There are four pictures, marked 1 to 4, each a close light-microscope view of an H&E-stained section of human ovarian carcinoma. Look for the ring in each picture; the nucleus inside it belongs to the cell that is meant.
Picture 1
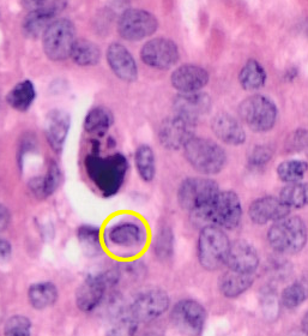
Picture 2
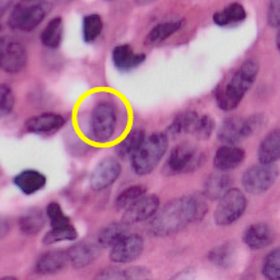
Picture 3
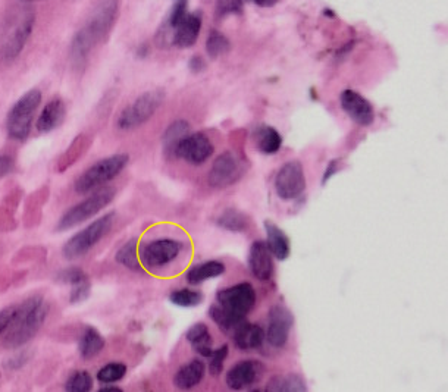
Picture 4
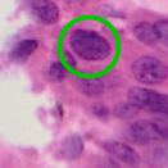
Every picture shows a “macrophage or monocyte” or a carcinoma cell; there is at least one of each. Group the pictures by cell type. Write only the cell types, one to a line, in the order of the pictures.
macrophage or monocyte
carcinoma cell
macrophage or monocyte
carcinoma cell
